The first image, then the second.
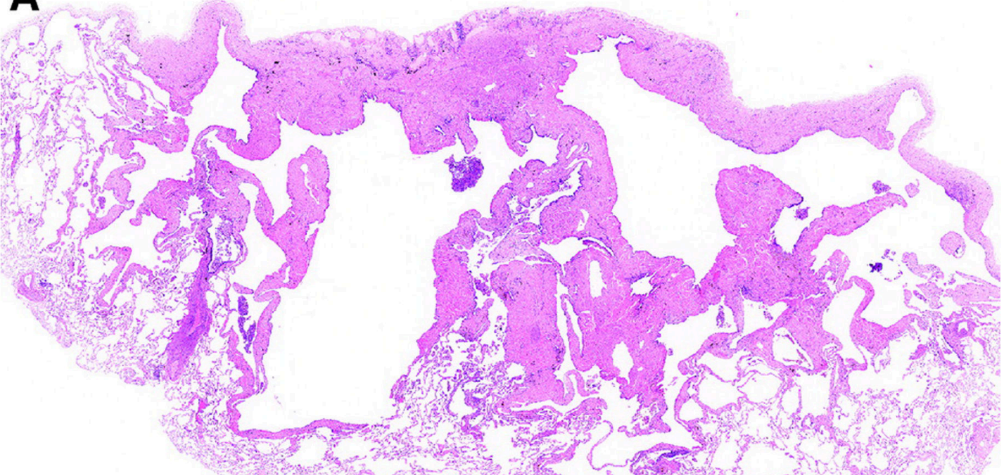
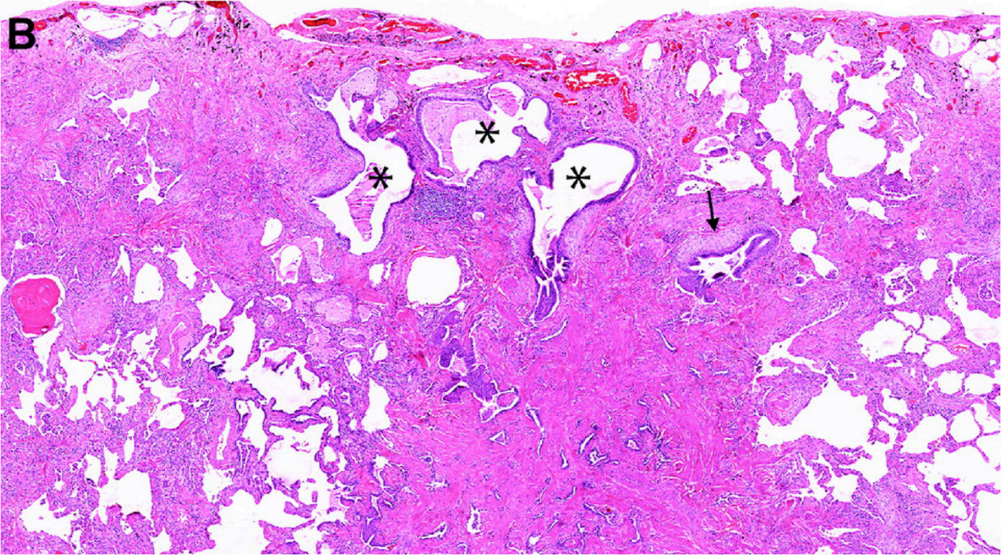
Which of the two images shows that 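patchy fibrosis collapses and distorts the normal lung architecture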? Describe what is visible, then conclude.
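The second image. First image: large cysts sit under the pleura, bounded by pale, uniform pink bands, with finer lung airspaces beyond. Second image: dense pink fibrosis fills large areas with small, irregular airspaces scattered through it, mixed with purple cellular patches.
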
